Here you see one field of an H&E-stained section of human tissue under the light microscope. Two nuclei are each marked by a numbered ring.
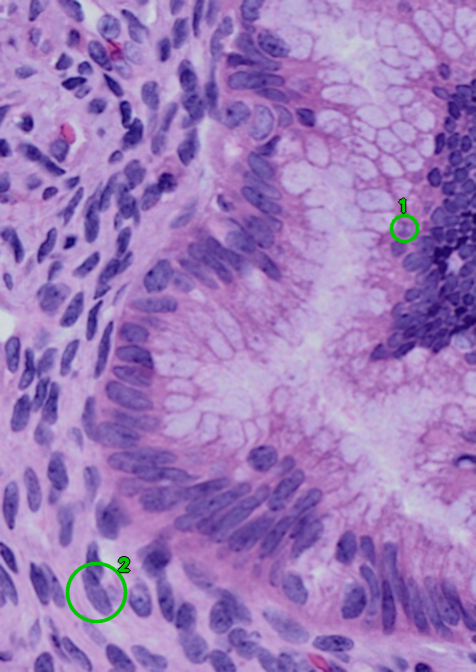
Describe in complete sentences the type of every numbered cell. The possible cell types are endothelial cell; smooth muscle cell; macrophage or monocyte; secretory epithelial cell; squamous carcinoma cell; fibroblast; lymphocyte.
Cell 1 is a secretory epithelial cell. Cell 2 is a fibroblast.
